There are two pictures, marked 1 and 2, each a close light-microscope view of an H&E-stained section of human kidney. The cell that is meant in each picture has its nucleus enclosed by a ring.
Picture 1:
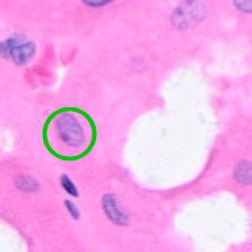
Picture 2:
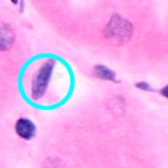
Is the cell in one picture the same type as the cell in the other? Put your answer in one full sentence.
No. Picture 1 shows a proximal tubule cell, but picture 2 shows an endothelial cell.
